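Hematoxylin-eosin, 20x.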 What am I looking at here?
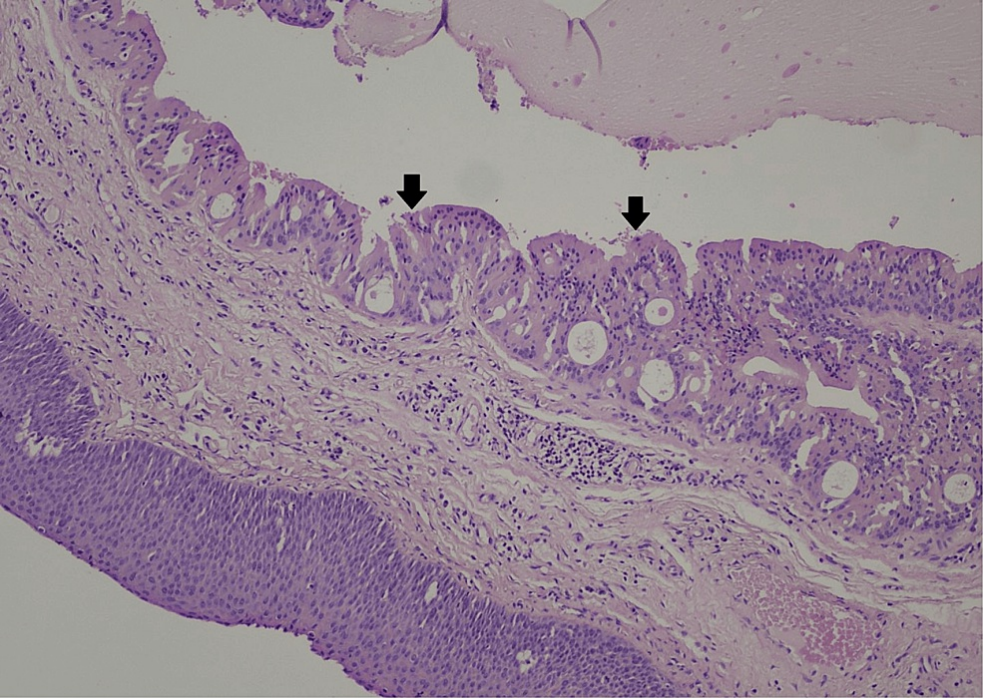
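This is the wall of a cystic space lined by a uniform layer of oncocytic epithelial cells, which fold into papillary projections toward the lumen. The lining cells are tall, with abundant pink cytoplasm and fairly uniform nuclei, and small round gland-like spaces sit within the thickened lining. Beneath the lining lies loose fibrous stroma with scattered small dark cells and a vessel holding red cells. Pale pink material lies in the lumen above, and a band of stratified squamous epithelium runs along the lower left edge.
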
